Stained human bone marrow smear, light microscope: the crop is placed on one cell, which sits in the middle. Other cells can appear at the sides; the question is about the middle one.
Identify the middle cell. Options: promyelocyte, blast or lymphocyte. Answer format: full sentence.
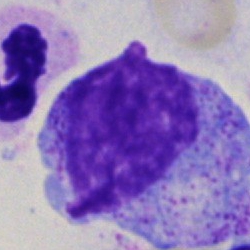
Regarding the central cell, it is a promyelocyte.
